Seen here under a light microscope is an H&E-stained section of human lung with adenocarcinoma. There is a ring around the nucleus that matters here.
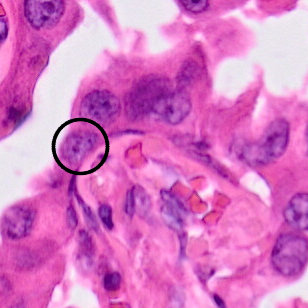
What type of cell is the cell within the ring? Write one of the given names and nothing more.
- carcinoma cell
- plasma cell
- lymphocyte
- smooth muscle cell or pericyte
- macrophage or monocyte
carcinoma cell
